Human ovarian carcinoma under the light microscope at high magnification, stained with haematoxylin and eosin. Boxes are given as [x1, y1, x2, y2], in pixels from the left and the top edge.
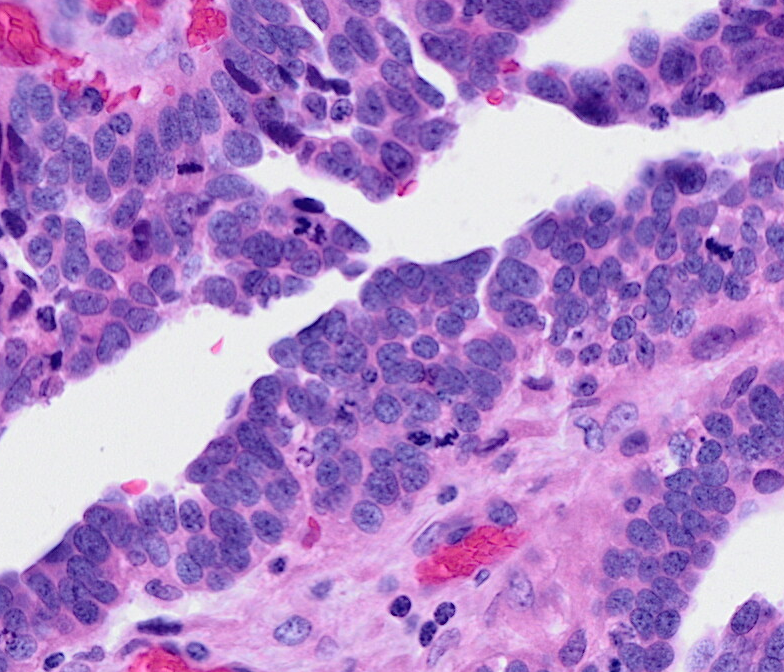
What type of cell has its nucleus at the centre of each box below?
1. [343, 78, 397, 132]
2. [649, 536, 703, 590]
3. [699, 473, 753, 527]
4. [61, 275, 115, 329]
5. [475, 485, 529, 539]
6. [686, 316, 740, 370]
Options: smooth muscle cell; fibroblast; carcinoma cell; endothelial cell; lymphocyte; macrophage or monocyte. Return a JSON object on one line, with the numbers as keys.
{"1": "carcinoma cell", "2": "carcinoma cell", "3": "carcinoma cell", "4": "carcinoma cell", "5": "endothelial cell", "6": "fibroblast"}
